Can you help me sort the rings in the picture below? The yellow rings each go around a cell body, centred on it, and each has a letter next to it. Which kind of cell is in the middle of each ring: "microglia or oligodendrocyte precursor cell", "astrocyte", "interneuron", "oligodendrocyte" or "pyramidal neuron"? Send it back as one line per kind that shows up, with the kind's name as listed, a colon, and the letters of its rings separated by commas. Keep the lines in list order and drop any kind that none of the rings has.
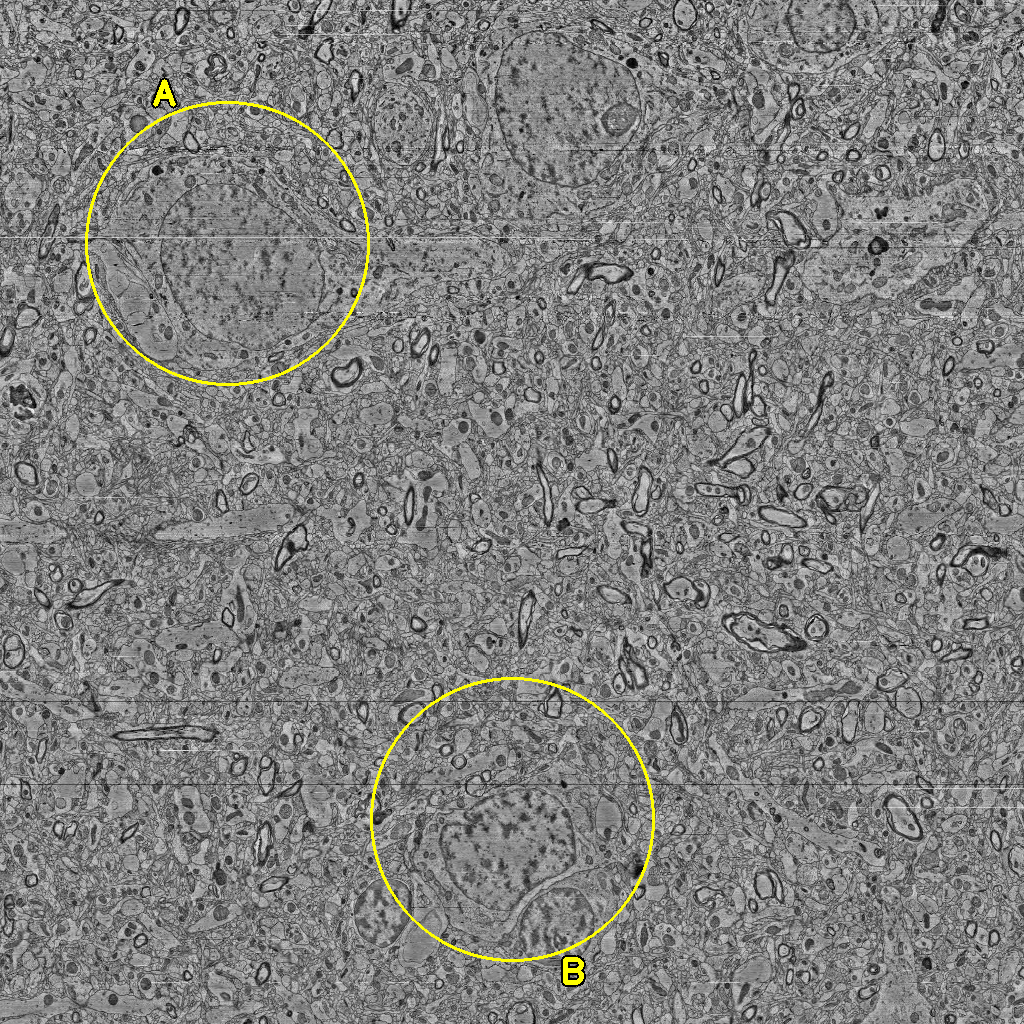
interneuron: B
pyramidal neuron: A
